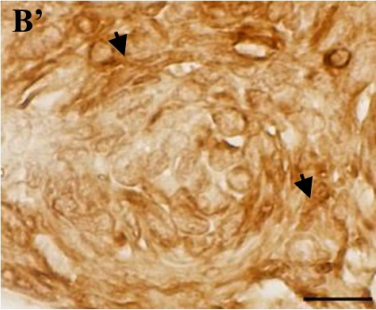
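Dense mesenchymal tissue of elongated spindle-shaped cells arranged in swirling bundles, stained strongly brown. The cells wrap around a paler central region with rounder nuclei. No orderly epithelial lining is seen.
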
